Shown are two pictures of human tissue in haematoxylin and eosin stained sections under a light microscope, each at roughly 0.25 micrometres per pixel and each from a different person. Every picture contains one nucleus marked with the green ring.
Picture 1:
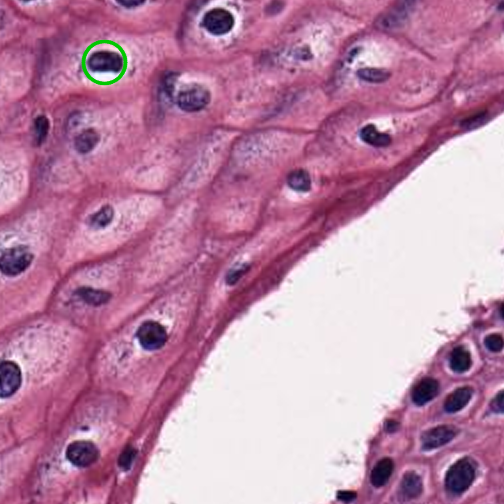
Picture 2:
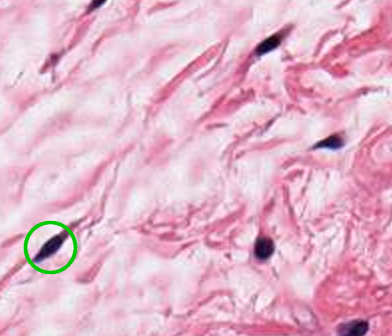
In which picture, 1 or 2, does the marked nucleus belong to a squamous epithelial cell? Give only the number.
1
